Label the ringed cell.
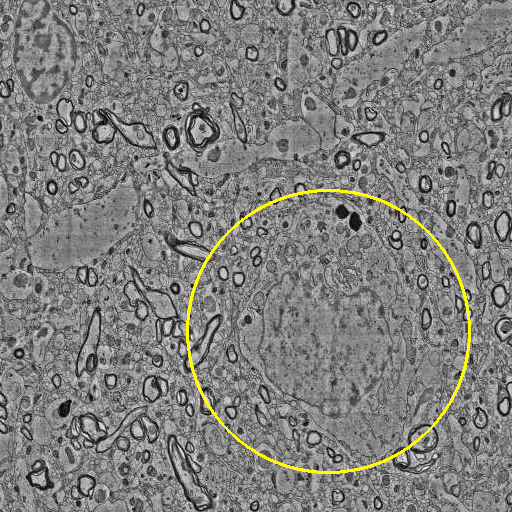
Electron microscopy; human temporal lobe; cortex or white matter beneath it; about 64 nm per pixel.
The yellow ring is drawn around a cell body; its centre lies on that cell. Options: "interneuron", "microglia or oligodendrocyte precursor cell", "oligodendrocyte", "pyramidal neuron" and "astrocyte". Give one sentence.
The ringed cell is an interneuron.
